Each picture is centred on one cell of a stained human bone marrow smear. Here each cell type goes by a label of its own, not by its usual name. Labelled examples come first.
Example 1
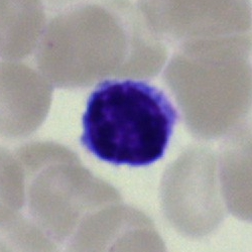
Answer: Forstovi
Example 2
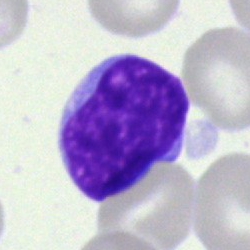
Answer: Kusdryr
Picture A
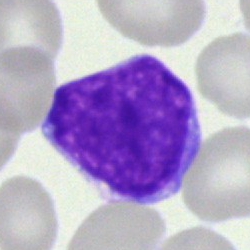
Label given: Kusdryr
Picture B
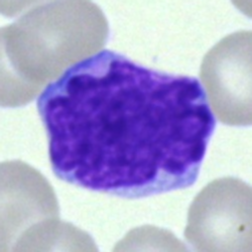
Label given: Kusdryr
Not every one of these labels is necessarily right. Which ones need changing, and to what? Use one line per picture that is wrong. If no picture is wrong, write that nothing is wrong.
Nothing to fix; every label fits.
